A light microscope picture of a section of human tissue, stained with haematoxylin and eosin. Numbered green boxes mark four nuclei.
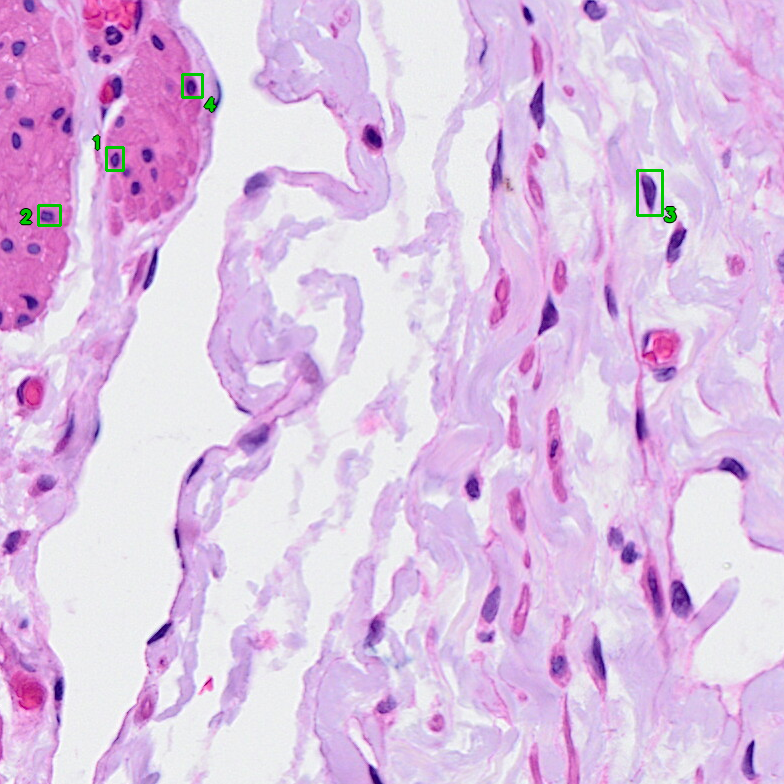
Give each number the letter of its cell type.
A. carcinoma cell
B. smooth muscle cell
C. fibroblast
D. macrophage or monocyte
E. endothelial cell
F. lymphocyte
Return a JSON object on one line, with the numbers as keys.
{"1": "B", "2": "B", "3": "C", "4": "B"}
